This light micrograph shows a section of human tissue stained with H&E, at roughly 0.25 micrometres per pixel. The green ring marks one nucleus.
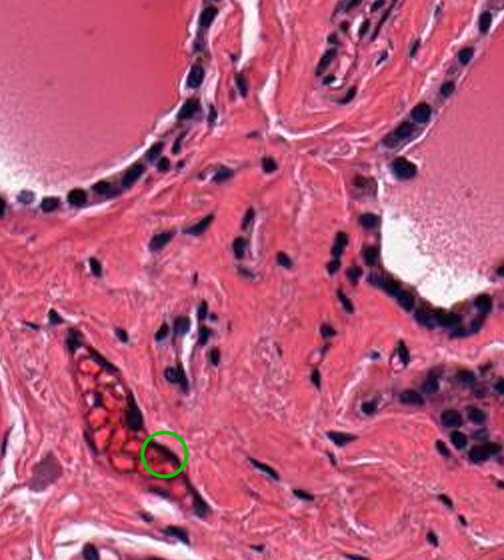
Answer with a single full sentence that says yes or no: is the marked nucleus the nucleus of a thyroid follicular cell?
No, not to a thyroid follicular cell does the marked nucleus belong, but to a supporting cell.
